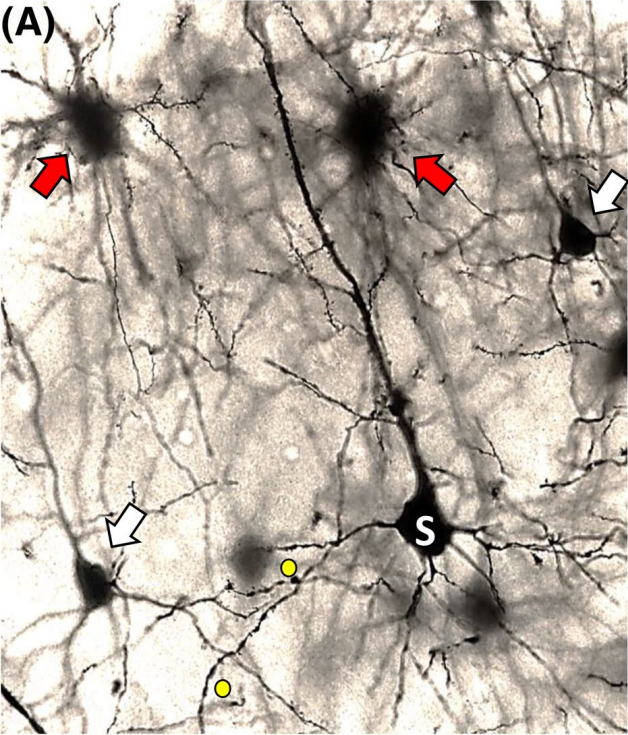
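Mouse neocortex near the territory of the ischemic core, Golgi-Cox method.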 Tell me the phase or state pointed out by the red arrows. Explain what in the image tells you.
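Severely necrotic. The marked cell bodies are dark, fuzzy-edged and blurred.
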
